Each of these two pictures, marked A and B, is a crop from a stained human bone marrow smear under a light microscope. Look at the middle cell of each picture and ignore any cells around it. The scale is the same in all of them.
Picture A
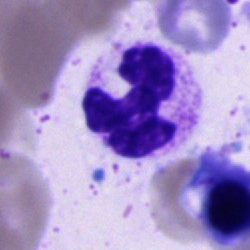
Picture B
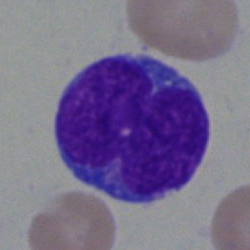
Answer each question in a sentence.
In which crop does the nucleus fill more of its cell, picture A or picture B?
It is the cell in picture B that is filled more by its nucleus.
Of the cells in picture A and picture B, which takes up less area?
It is the cell in picture A; the cell in picture B has about 1.5 times its area.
